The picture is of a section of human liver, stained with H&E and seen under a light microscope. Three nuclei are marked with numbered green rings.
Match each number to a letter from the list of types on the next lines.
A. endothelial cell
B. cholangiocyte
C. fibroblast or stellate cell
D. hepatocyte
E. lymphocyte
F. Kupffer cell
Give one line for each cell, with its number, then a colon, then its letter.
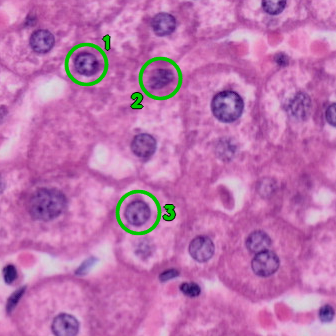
1: D
2: C
3: D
